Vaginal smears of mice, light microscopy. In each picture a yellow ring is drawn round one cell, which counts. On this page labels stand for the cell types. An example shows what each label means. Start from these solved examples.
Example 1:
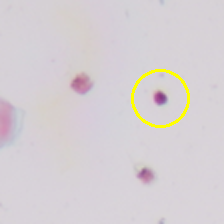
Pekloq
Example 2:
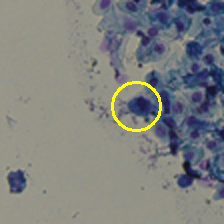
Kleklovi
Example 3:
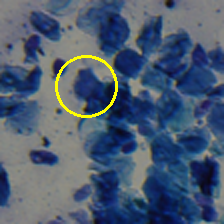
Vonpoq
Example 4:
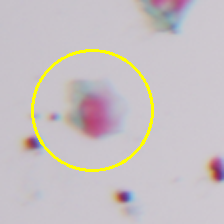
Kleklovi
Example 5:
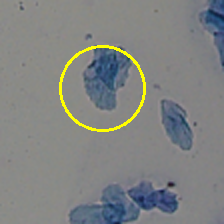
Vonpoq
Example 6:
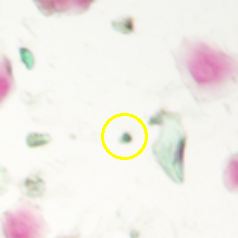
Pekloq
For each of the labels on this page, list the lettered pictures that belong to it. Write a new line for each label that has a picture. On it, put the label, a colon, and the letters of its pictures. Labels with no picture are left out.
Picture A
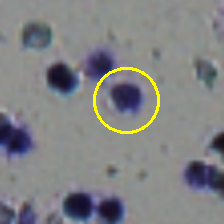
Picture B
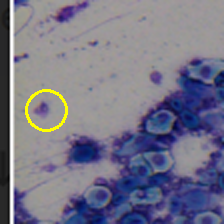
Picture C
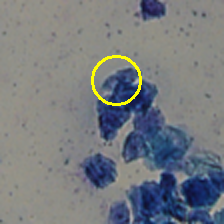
Pekloq: A, B
Vonpoq: C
